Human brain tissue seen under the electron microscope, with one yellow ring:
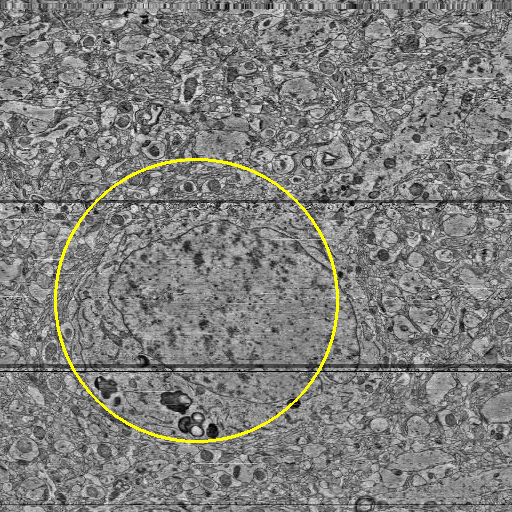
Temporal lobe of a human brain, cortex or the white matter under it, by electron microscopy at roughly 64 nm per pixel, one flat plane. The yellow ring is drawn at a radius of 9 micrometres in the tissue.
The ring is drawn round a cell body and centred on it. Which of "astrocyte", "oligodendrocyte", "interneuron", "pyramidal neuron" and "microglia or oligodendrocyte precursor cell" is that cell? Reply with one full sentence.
The picture shows a pyramidal neuron at the very centre of the yellow ring.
